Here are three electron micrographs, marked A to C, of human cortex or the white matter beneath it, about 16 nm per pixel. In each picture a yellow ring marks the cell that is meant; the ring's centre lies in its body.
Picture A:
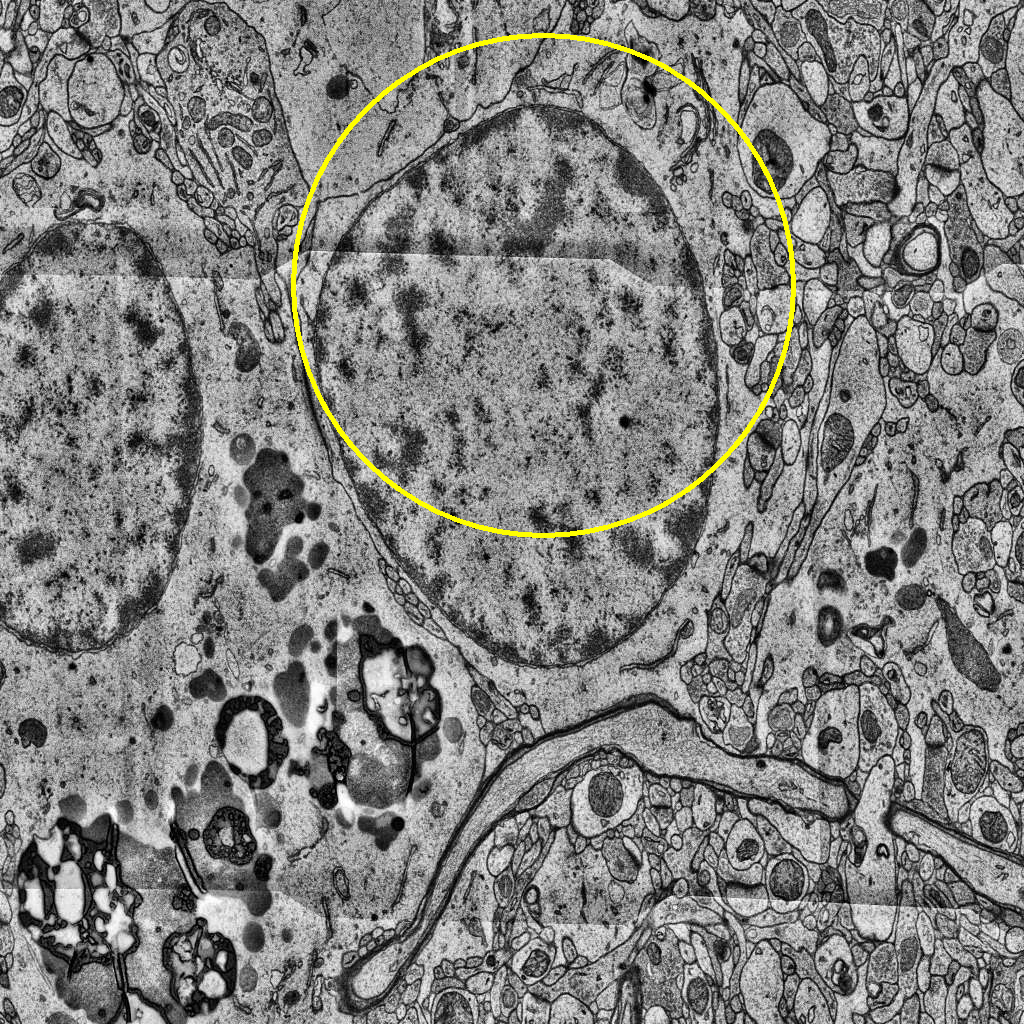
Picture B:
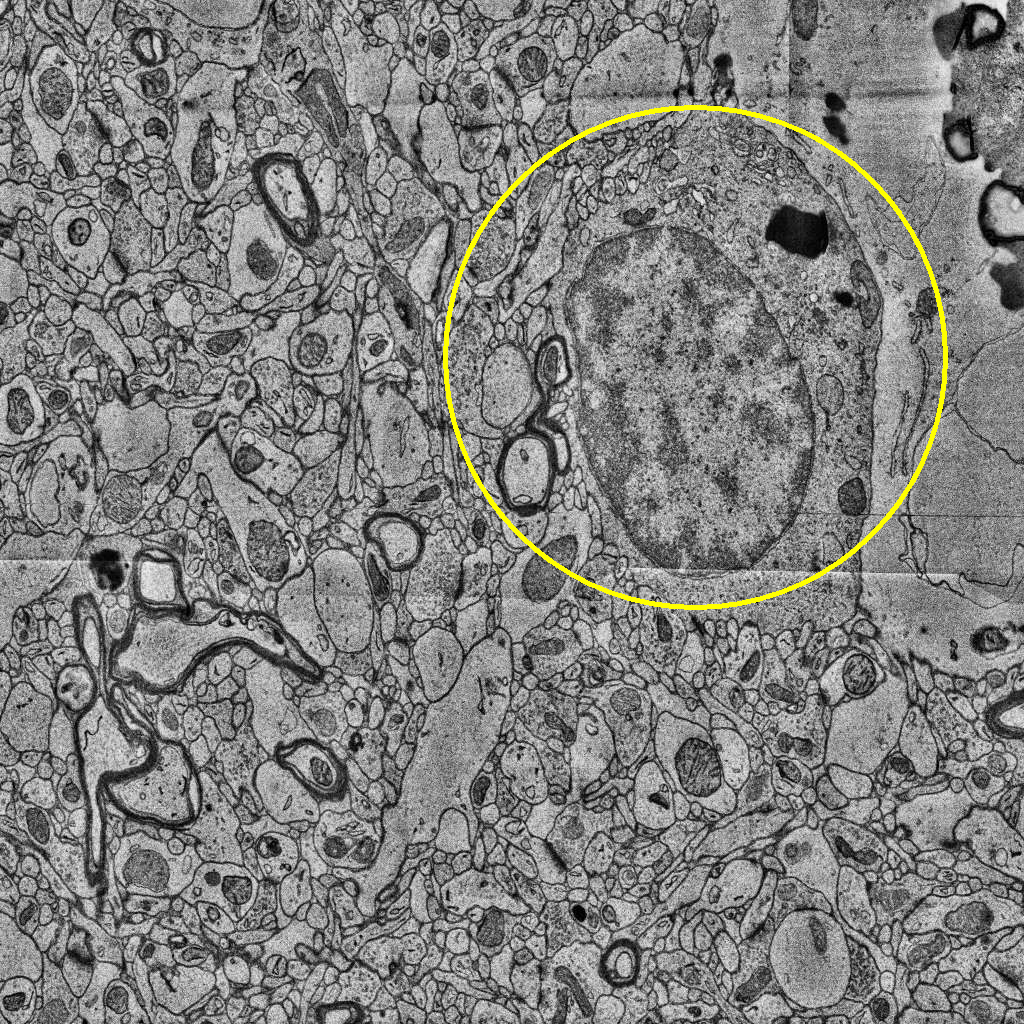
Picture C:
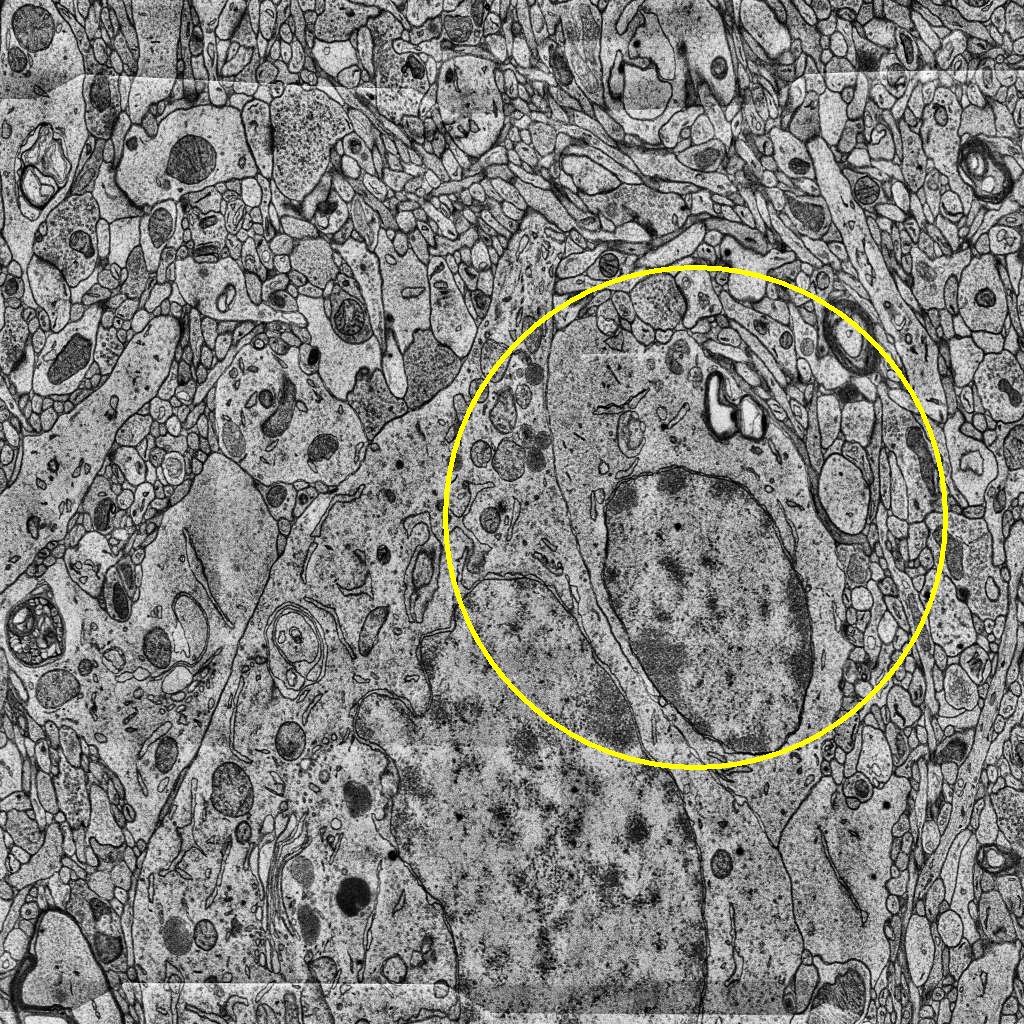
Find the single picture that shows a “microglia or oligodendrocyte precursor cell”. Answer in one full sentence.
The “microglia or oligodendrocyte precursor cell” is the one in picture C.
